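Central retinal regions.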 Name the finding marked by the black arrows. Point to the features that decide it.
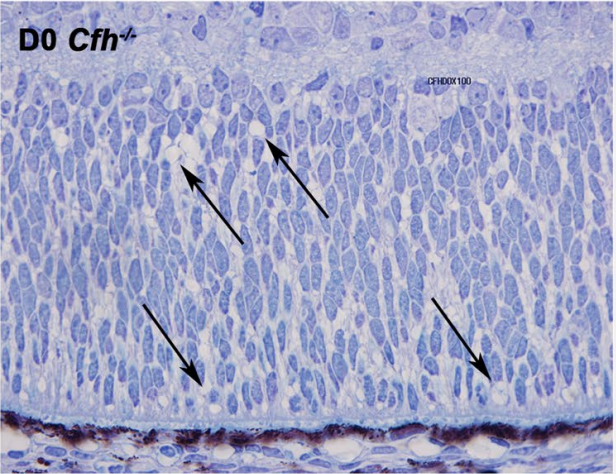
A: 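Small round clear spaces lie between the blue-stained nuclei where the arrows point. The clear spaces are empty and unstained. The answer: extracellular vacuoles.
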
